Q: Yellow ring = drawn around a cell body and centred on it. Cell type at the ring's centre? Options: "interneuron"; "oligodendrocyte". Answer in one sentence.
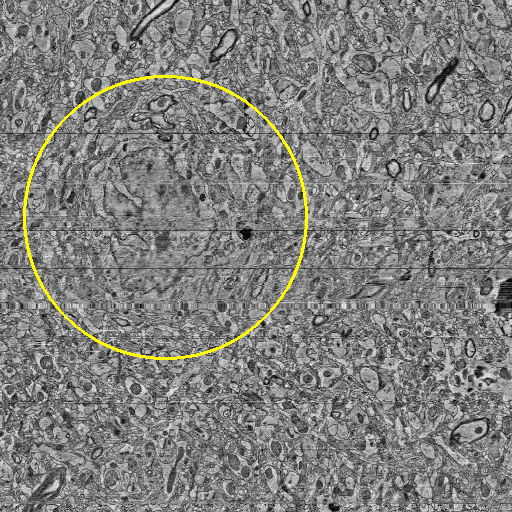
Centred in the ring is an interneuron.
